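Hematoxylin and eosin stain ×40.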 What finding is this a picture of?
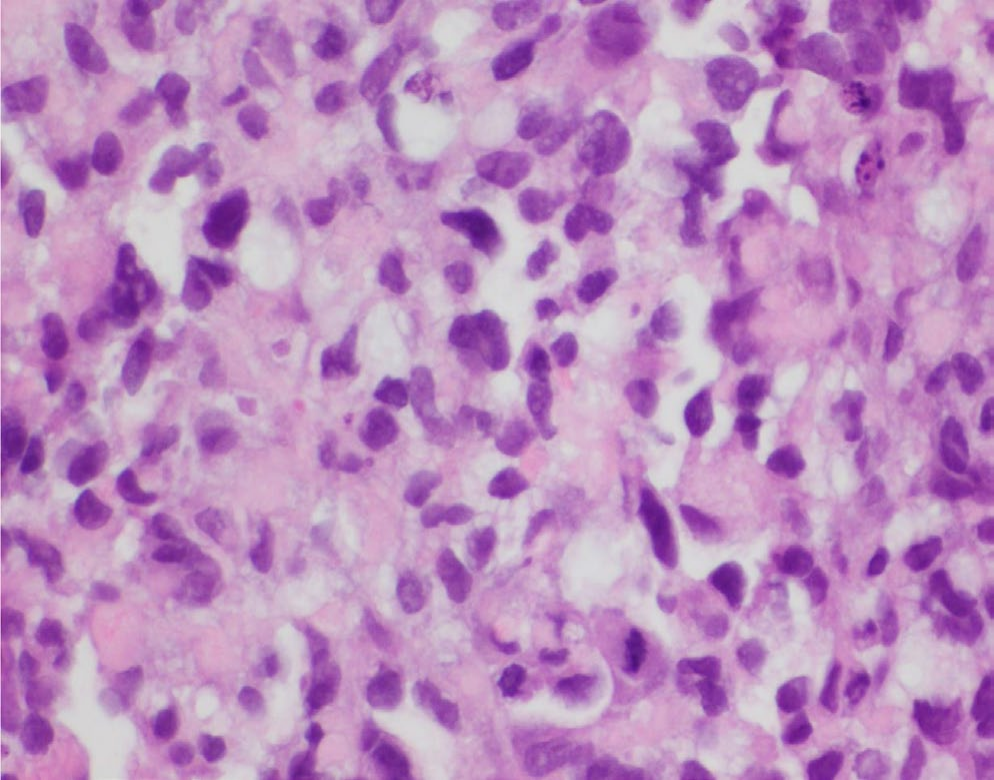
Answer: mitotic activity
